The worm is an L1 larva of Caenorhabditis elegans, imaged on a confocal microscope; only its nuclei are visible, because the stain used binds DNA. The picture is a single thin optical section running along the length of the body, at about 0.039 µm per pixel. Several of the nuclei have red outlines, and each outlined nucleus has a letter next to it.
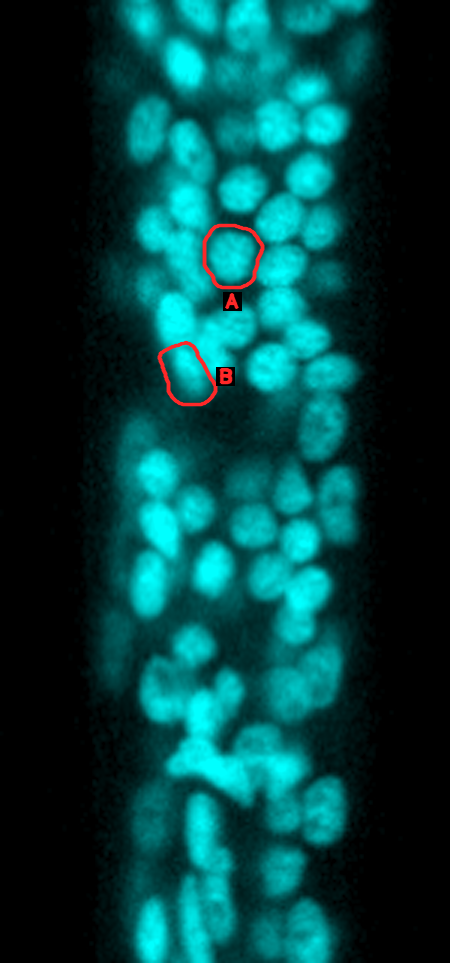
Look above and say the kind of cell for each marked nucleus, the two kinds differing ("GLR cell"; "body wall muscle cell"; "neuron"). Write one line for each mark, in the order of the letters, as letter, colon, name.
A: neuron
B: GLR cell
